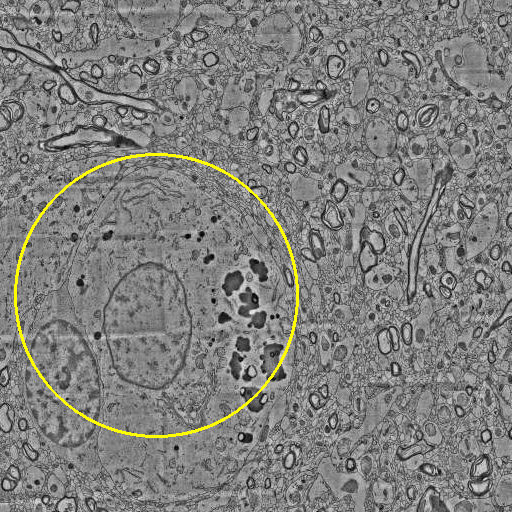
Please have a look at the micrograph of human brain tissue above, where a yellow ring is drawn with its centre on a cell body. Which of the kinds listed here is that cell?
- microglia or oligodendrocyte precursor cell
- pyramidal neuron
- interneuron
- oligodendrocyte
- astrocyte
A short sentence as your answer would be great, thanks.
At the centre of the ring sits a pyramidal neuron.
